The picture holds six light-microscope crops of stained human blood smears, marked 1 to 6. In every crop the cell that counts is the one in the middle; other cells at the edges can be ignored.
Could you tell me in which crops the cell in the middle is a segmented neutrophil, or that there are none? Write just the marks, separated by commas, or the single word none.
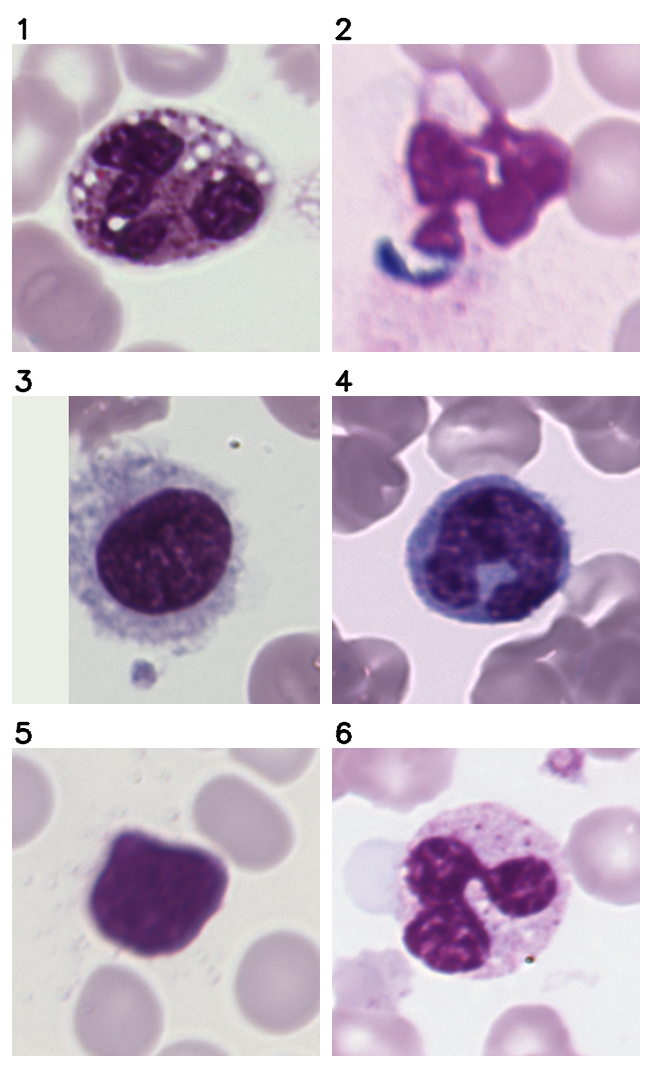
6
